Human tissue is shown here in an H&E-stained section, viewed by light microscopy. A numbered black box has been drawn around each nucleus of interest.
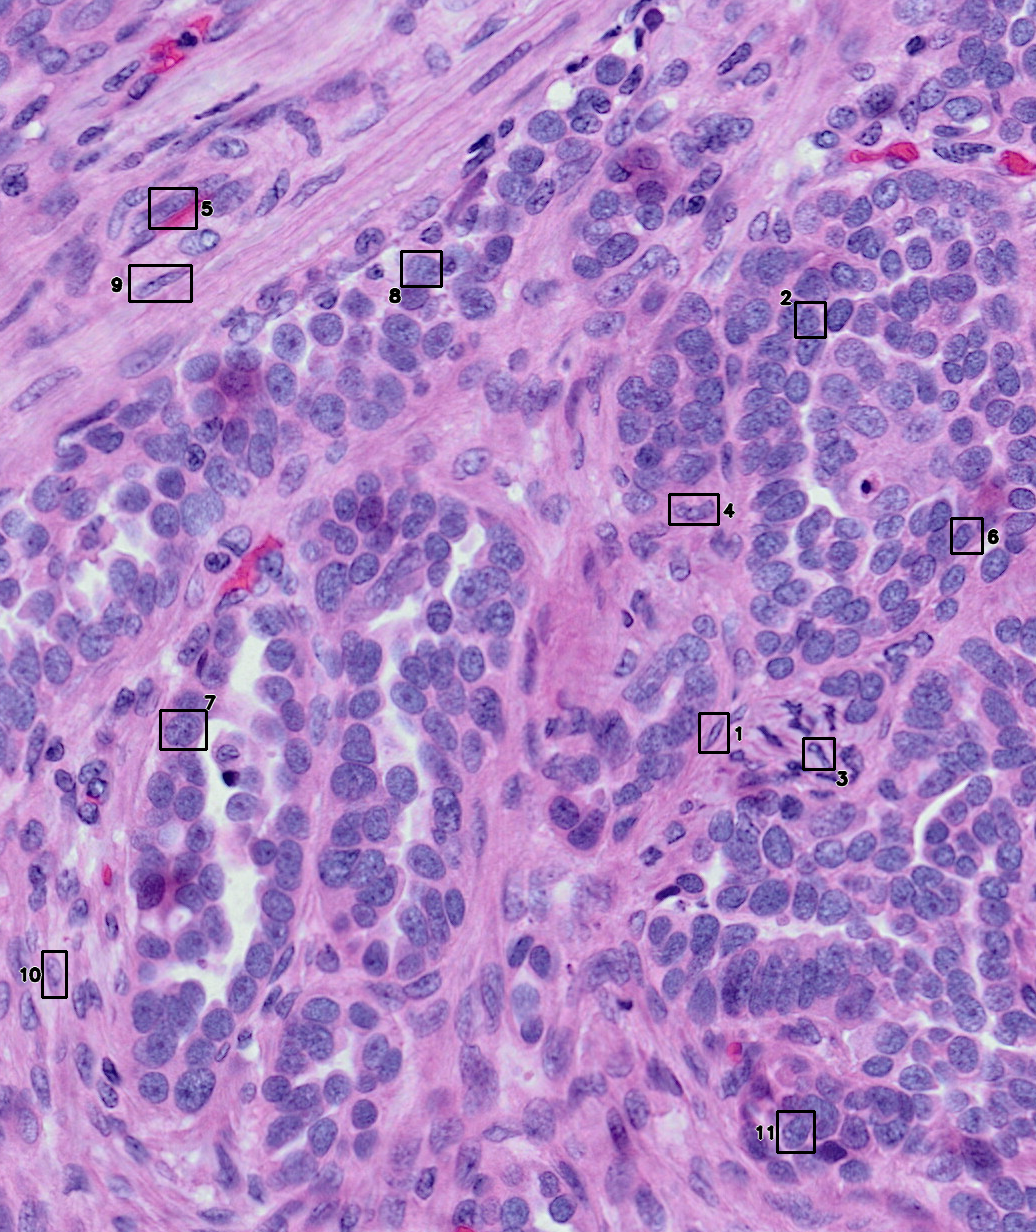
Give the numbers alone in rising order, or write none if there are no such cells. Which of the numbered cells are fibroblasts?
1, 3, 4, 9, 10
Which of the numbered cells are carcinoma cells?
2, 6, 7, 8, 11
